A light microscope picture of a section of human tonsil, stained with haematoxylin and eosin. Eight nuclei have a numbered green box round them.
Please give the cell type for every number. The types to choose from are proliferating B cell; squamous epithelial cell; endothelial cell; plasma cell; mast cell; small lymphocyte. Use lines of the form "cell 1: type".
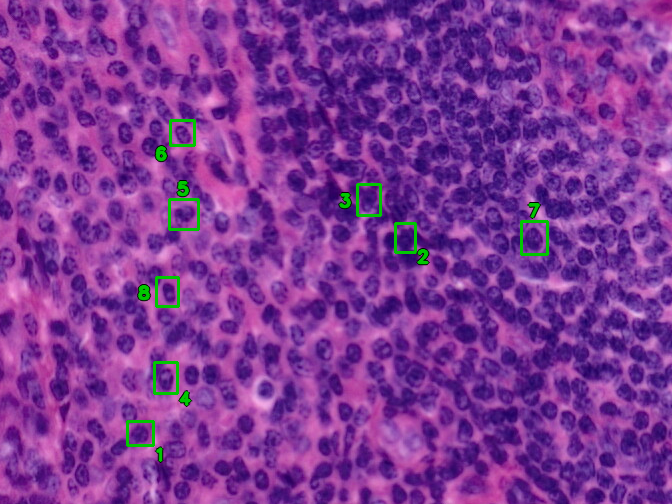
cell 1: plasma cell
cell 2: small lymphocyte
cell 3: small lymphocyte
cell 4: plasma cell
cell 5: plasma cell
cell 6: plasma cell
cell 7: small lymphocyte
cell 8: plasma cell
